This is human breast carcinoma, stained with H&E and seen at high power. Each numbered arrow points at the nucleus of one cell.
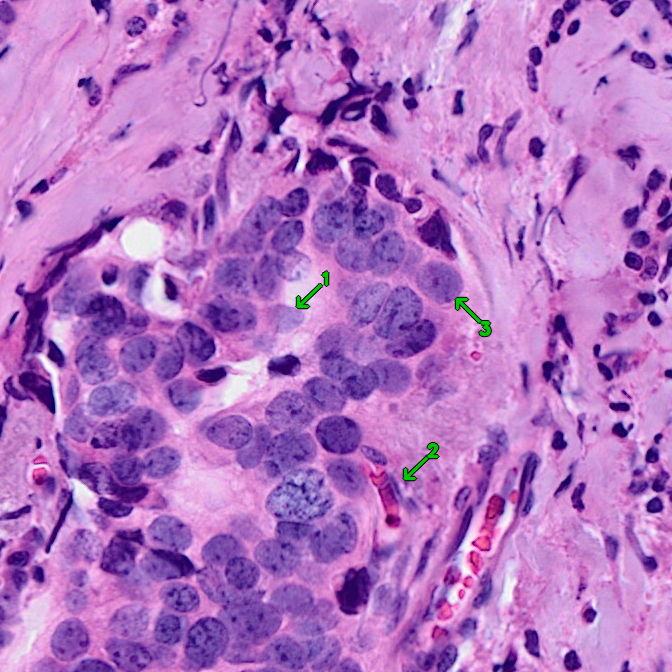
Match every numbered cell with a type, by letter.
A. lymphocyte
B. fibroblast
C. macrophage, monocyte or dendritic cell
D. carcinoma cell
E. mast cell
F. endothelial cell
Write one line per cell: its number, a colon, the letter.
1: D
2: F
3: D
